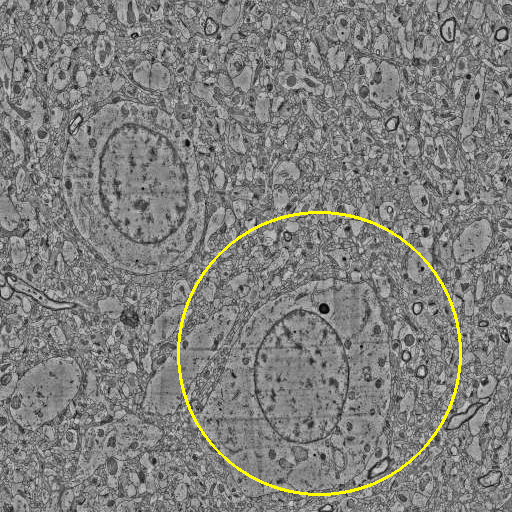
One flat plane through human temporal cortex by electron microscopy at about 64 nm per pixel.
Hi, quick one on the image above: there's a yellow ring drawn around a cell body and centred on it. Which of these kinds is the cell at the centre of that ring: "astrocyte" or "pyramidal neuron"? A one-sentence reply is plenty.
The cell at the centre of the ring is a pyramidal neuron.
